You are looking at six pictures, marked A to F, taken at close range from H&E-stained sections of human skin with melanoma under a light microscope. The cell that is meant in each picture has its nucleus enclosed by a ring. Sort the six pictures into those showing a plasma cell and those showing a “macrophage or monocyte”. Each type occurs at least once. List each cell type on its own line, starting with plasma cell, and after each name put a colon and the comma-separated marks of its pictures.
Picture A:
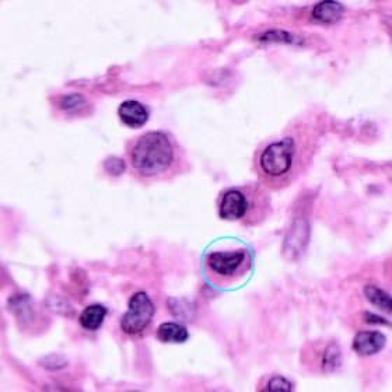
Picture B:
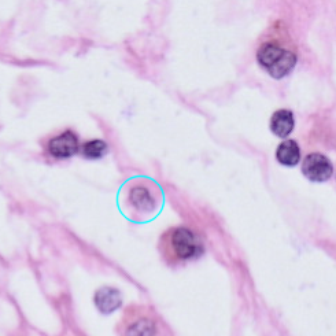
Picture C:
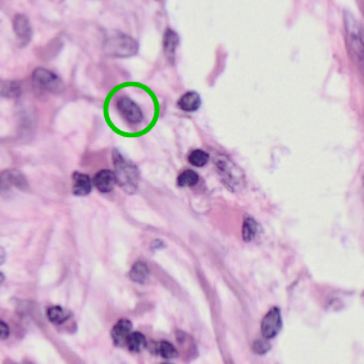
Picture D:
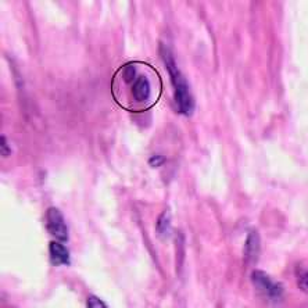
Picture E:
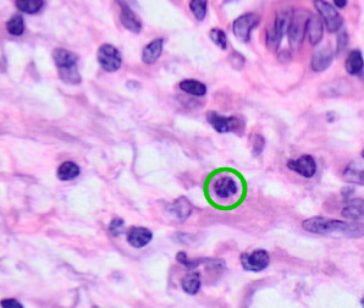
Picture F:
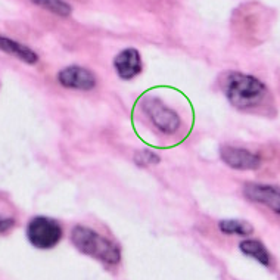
plasma cell: C, D, E
macrophage or monocyte: A, B, F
